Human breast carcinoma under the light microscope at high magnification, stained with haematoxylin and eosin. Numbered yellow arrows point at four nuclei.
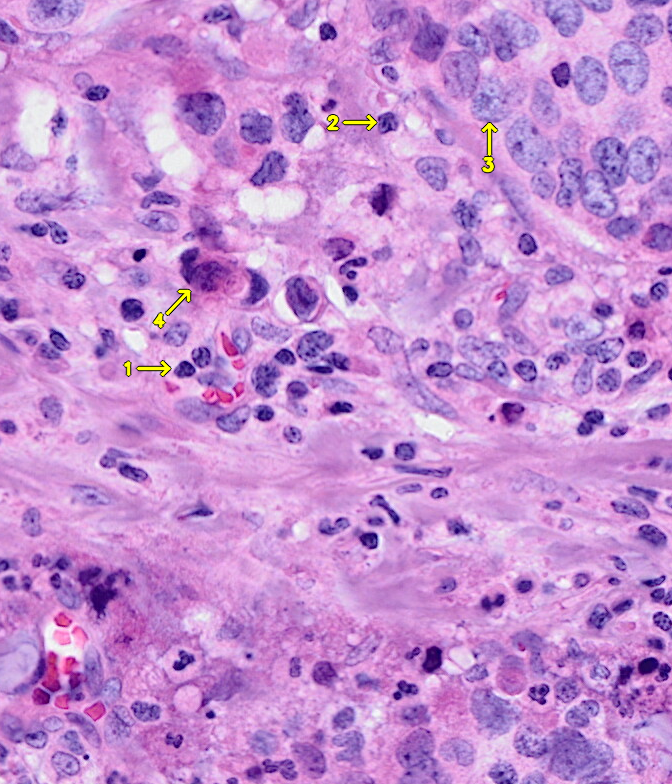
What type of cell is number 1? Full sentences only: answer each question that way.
Corresponding to a lymphocyte is the cell labelled 1.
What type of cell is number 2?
Cell 2 of the marked set is a lymphocyte.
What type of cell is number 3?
In the tissue shown, cell 3 is a carcinoma cell.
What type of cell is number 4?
The cell that goes by number 4 is a carcinoma cell.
